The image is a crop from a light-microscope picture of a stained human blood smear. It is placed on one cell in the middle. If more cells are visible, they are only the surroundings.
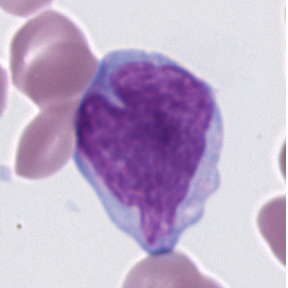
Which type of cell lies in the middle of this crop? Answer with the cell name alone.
atypical promyelocyte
